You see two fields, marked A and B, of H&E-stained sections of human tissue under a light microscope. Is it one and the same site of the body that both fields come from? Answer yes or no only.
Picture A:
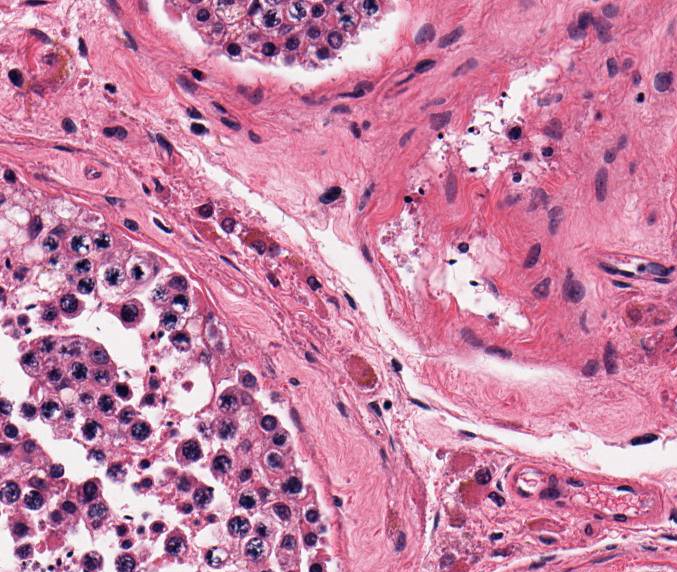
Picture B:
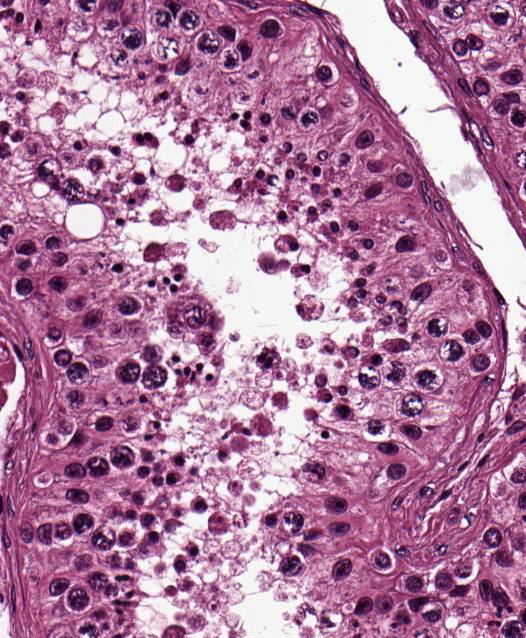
yes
